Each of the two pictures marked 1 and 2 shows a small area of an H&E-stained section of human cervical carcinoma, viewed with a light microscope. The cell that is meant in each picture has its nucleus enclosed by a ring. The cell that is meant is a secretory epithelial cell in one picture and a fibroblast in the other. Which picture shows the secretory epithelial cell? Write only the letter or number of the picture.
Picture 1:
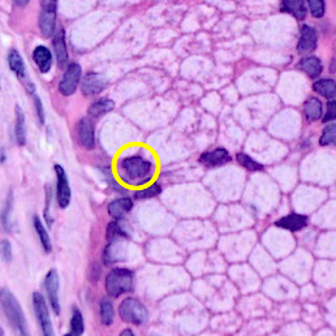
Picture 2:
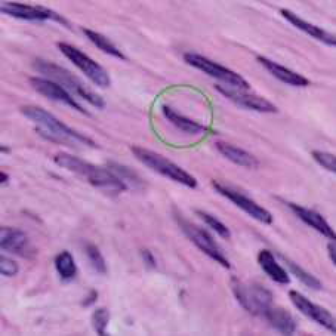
1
